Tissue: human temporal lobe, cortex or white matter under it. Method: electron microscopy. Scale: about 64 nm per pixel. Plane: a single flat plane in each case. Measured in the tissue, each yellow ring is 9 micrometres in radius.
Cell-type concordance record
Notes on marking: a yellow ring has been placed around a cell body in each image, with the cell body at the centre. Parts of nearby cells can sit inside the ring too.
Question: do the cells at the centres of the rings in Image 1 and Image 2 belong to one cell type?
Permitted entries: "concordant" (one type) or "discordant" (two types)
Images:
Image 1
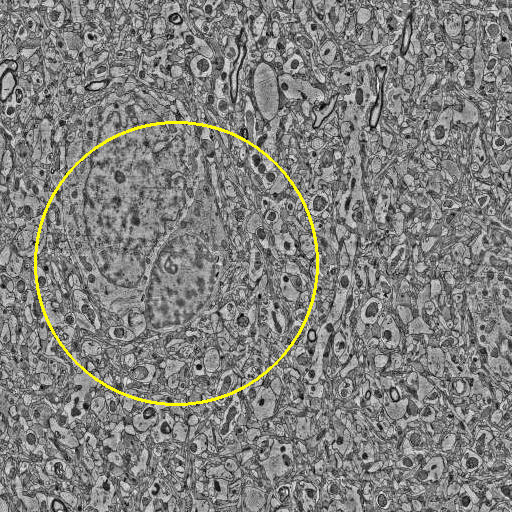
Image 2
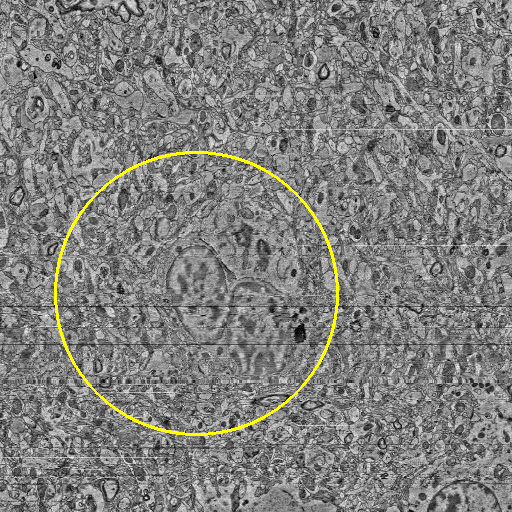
concordant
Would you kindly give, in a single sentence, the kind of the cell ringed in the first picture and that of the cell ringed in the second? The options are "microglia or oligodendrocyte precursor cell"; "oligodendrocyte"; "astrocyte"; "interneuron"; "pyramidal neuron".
Each one of the two ringed cells is an oligodendrocyte.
